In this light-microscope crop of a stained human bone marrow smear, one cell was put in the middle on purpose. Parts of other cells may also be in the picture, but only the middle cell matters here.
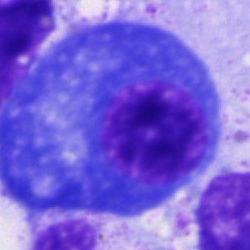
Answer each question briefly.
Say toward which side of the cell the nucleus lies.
lower right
